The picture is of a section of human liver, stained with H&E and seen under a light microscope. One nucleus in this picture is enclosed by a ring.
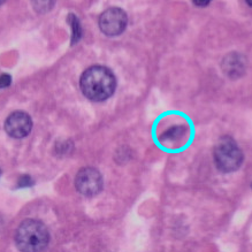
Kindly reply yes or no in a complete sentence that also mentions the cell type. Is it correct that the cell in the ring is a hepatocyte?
No, the cell in the ring is scored as an endothelial cell and not as a hepatocyte.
